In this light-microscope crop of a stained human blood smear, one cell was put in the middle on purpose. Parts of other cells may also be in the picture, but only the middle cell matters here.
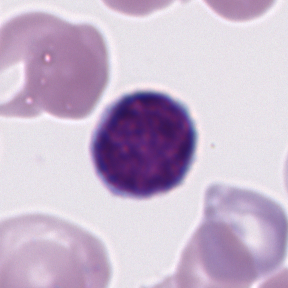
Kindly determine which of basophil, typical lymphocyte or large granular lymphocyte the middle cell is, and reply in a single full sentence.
The centrally positioned cell in the crop represents a typical lymphocyte.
